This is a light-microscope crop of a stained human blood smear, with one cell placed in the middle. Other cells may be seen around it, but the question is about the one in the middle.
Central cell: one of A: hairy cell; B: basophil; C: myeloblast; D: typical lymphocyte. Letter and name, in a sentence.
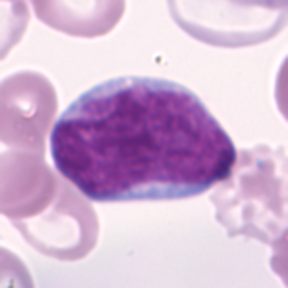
The cell at the heart of the crop is a myeloblast, so choose option C.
